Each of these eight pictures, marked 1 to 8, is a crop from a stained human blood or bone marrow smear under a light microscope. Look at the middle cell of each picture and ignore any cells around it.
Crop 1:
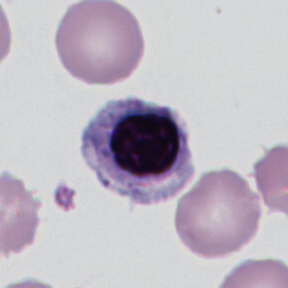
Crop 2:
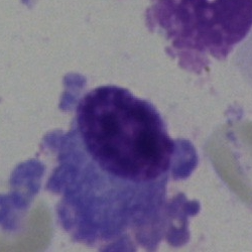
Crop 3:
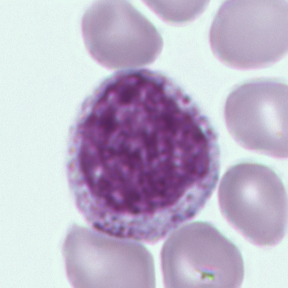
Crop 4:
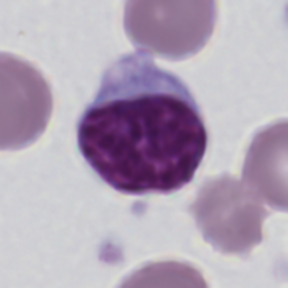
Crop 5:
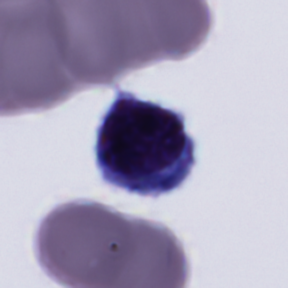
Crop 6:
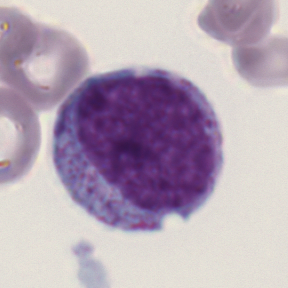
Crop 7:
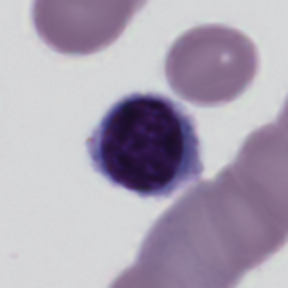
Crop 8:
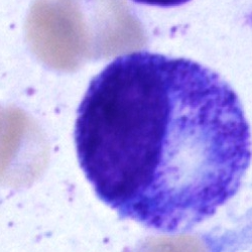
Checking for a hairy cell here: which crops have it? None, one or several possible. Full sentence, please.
The number of crops with a hairy cell in them is zero.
